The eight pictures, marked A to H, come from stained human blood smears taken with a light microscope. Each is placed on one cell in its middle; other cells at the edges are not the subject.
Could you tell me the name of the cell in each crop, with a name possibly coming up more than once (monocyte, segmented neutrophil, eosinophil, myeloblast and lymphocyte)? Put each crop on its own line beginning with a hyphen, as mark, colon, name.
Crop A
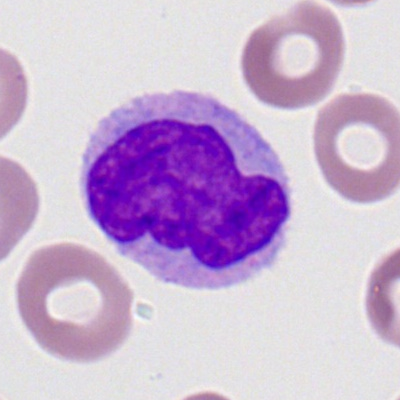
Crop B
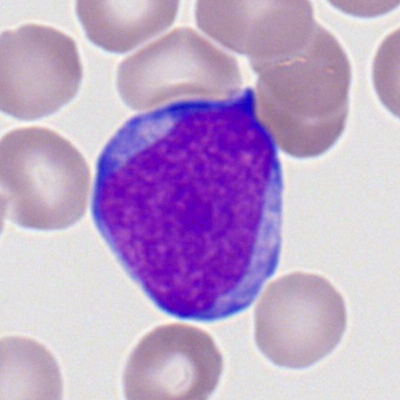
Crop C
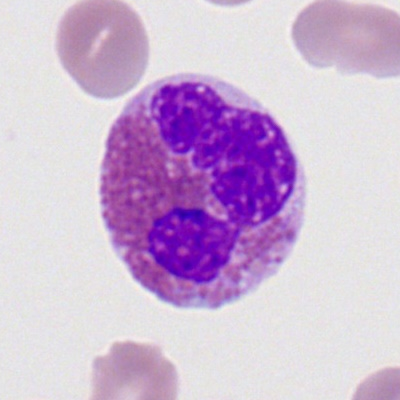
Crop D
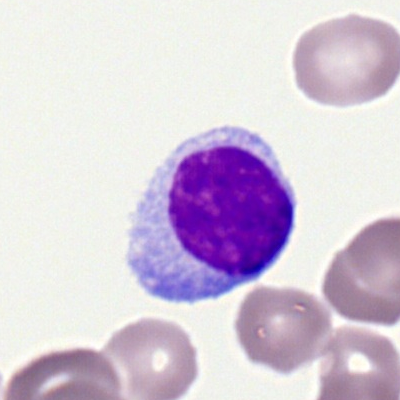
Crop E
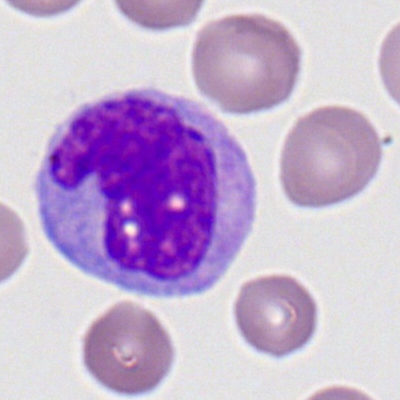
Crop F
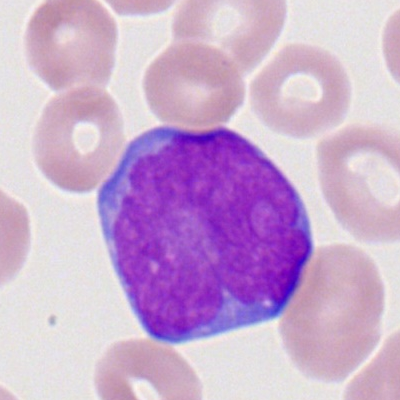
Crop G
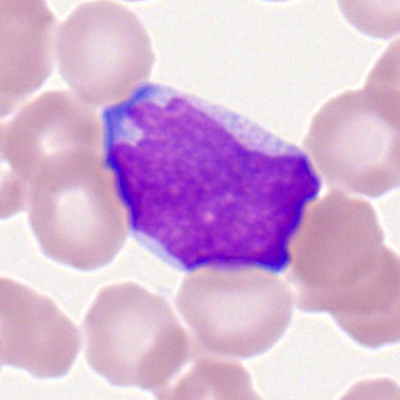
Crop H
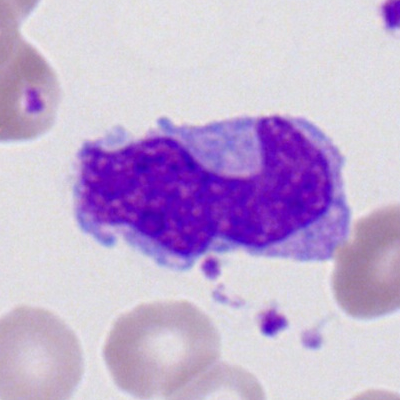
- A: monocyte
- B: myeloblast
- C: eosinophil
- D: lymphocyte
- E: monocyte
- F: myeloblast
- G: myeloblast
- H: monocyte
